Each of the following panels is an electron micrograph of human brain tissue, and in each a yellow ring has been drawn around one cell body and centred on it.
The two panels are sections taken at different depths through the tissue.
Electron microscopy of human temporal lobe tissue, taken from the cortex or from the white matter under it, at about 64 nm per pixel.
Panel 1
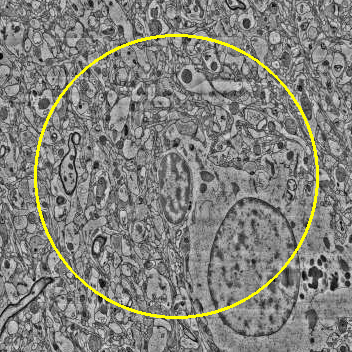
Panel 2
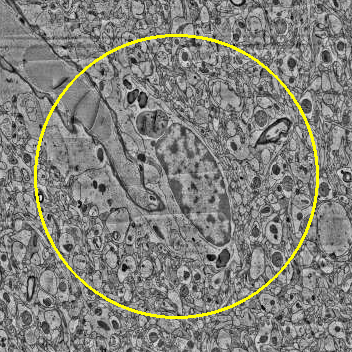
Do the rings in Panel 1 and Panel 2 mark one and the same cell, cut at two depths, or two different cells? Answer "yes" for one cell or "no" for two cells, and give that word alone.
no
